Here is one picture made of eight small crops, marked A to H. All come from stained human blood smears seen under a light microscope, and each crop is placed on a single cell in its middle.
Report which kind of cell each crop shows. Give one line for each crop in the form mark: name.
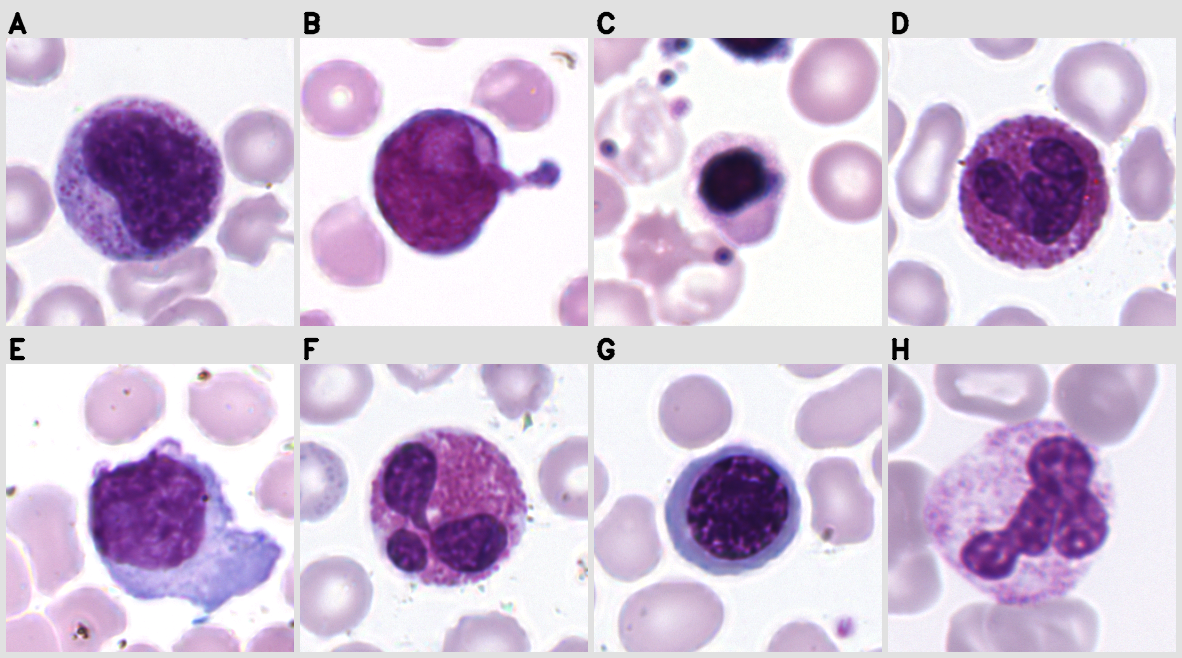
A: myelocyte
B: atypical promyelocyte
C: normoblast
D: eosinophil
E: plasma cell
F: eosinophil
G: normoblast
H: segmented neutrophil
